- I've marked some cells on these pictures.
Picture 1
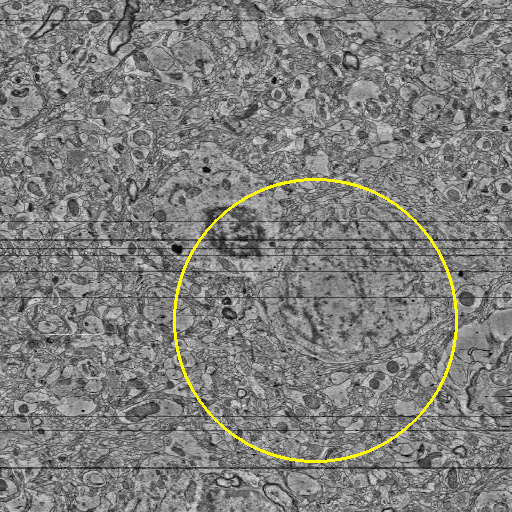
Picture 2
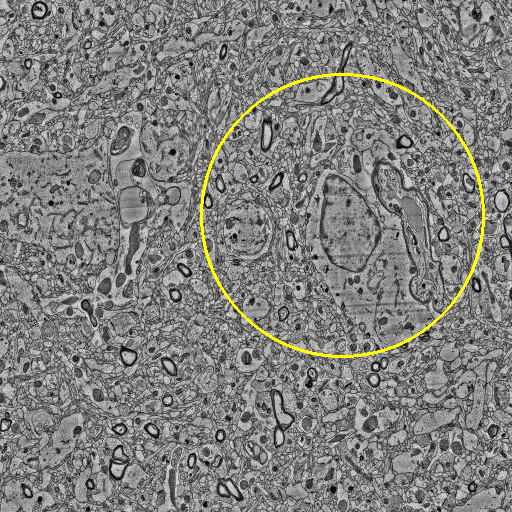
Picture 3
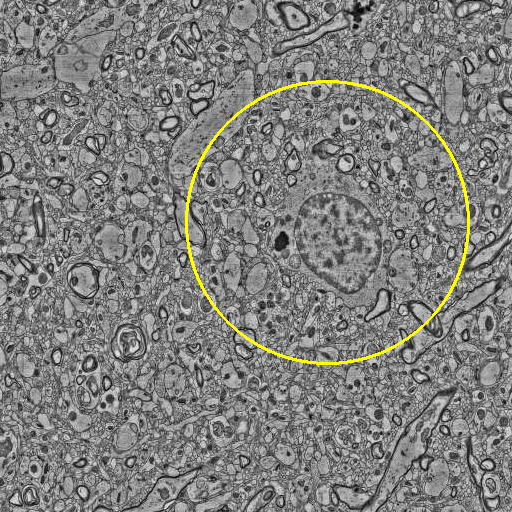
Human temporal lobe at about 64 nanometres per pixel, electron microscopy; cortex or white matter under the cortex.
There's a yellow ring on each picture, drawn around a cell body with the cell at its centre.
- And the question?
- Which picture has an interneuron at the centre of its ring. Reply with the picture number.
1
